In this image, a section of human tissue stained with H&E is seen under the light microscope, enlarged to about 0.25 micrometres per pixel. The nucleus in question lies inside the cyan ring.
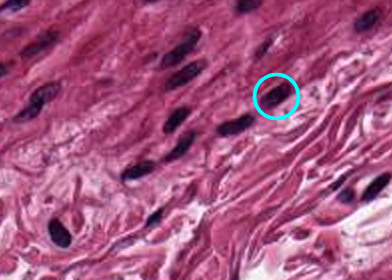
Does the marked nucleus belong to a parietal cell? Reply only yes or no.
no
